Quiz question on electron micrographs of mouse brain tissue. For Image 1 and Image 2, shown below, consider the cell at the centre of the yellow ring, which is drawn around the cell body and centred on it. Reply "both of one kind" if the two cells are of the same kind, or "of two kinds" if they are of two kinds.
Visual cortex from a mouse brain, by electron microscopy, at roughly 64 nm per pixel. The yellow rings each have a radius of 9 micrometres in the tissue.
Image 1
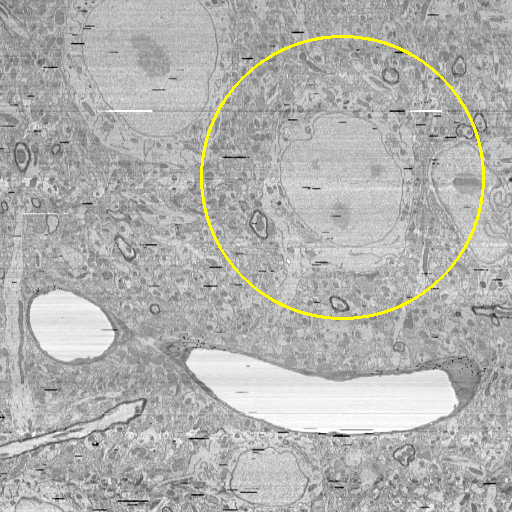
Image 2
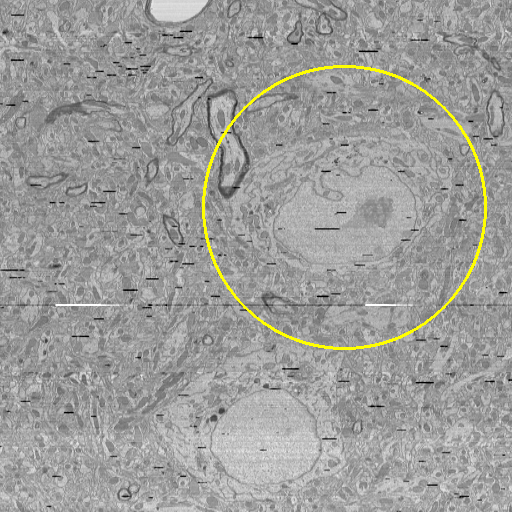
of two kinds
